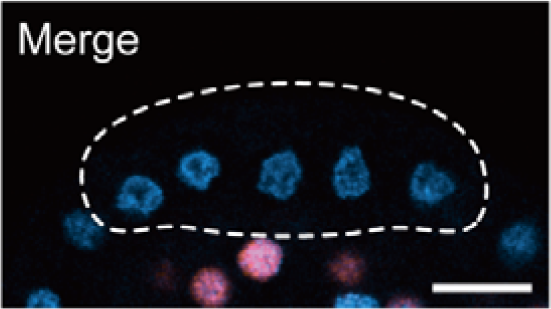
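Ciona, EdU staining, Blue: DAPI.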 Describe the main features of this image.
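A white dashed line encloses a small group of cells whose blue nuclei form a single neat row of about five, evenly spaced. These outlined nuclei are somewhat irregular and show a mottled chromatin texture, and none of them carries any orange or pink colour.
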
